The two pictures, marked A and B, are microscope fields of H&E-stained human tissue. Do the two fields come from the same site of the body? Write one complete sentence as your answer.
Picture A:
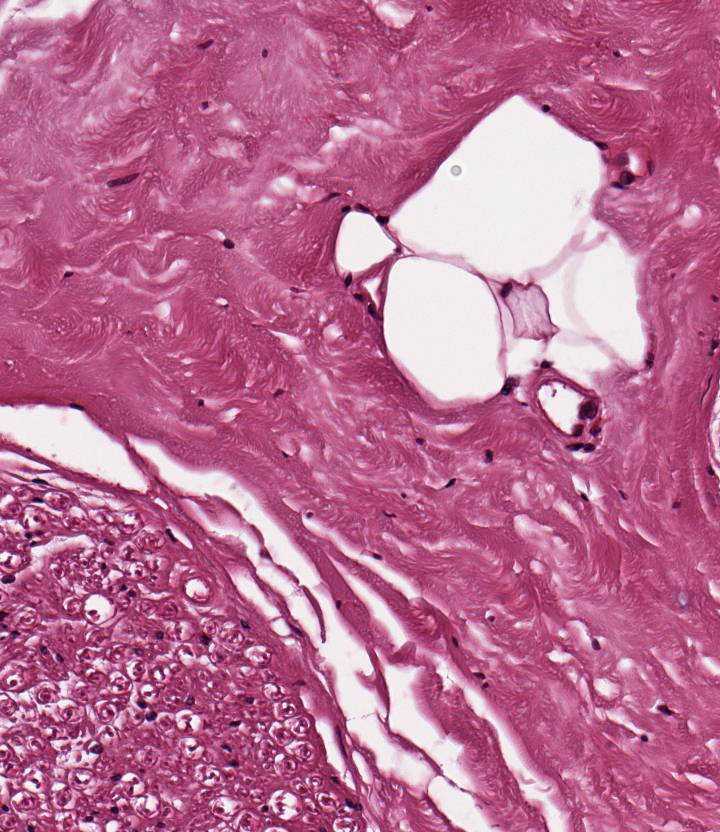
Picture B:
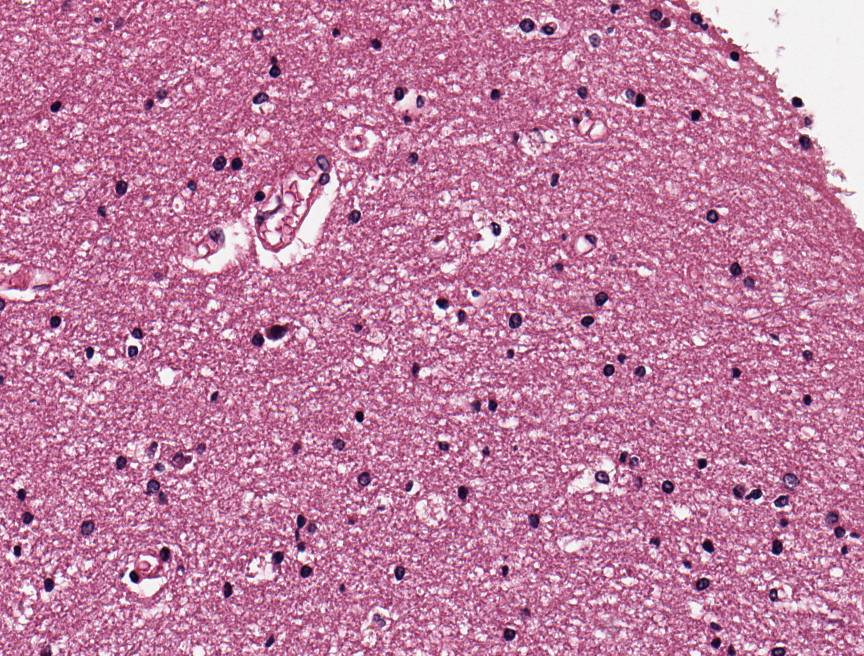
No, picture A comes from the tibial nerve and picture B comes from the cerebral cortex.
